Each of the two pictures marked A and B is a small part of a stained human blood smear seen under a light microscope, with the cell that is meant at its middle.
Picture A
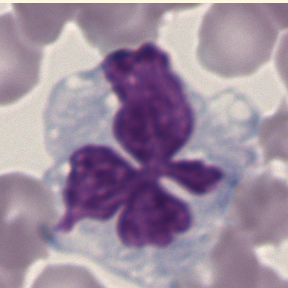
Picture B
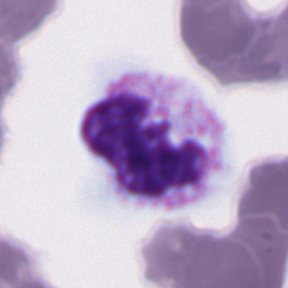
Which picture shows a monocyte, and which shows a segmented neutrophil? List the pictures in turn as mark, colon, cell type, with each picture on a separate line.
A: monocyte
B: segmented neutrophil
